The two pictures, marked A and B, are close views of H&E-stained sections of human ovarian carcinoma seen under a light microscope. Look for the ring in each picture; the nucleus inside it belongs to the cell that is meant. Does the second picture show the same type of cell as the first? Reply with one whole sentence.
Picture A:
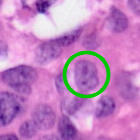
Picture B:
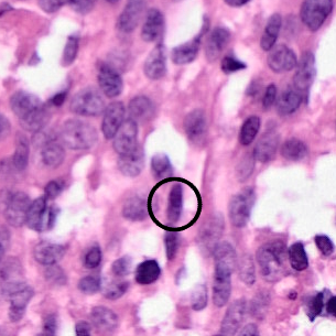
Yes, they are the same type: both are carcinoma cells.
